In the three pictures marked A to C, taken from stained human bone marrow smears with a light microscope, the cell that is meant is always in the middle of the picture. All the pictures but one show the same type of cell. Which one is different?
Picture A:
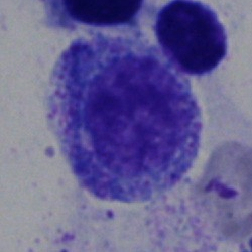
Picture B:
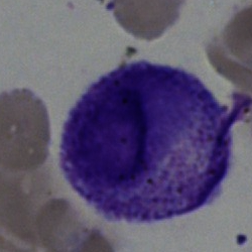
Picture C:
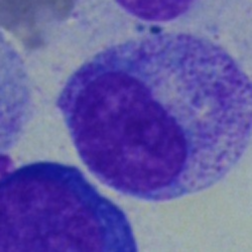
A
